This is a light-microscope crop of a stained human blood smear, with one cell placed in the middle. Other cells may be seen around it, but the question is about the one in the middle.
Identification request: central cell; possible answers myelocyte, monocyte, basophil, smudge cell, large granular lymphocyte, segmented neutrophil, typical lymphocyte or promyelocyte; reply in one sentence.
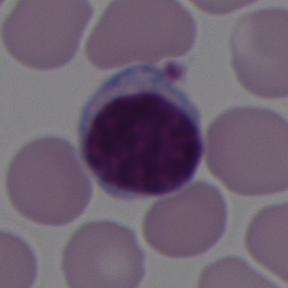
The identification for the central cell is a typical lymphocyte.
